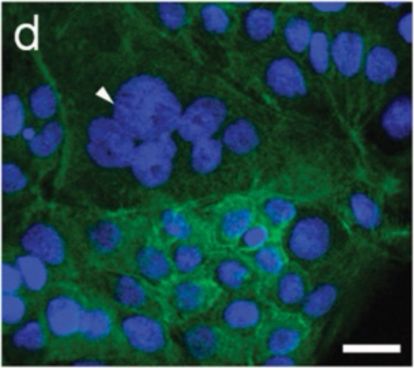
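Cultured cells in a dense sheet with blue nuclei and a green network outlining cells and running through the cytoplasm. Nuclei vary in size, most oval with darker spots inside. At one place several nuclei lie crowded together in one patch, forming a multinucleated cell.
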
